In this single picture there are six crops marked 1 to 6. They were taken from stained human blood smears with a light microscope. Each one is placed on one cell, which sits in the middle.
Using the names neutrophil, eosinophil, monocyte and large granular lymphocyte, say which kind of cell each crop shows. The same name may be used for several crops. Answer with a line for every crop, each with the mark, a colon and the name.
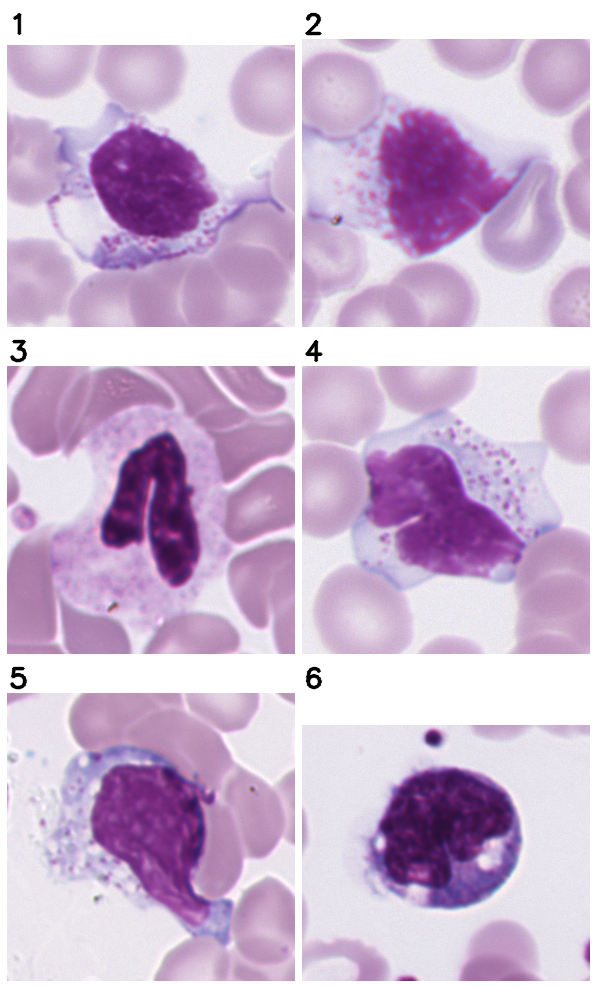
1: large granular lymphocyte
2: large granular lymphocyte
3: neutrophil
4: large granular lymphocyte
5: large granular lymphocyte
6: monocyte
